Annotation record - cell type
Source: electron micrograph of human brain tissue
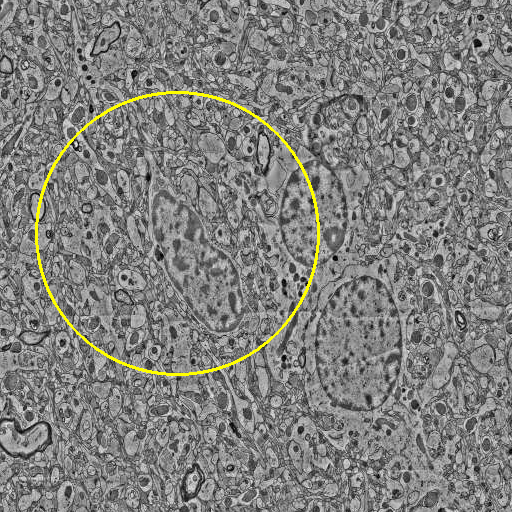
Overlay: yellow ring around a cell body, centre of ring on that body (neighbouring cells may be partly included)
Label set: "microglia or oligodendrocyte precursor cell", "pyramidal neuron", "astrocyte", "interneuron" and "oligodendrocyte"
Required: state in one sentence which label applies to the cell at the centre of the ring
This cell should be labelled as a microglial cell or oligodendrocyte precursor cell.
